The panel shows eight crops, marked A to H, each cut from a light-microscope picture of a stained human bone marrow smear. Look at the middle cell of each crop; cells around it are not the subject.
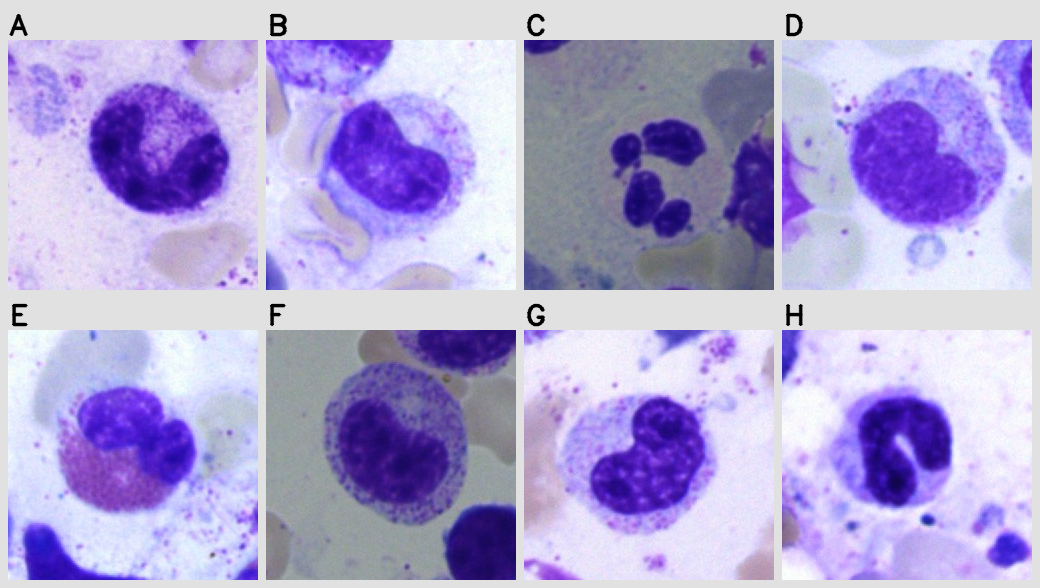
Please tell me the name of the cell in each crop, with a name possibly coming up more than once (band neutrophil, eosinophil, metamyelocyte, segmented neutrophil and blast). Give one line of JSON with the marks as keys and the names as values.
{"A": "band neutrophil", "B": "metamyelocyte", "C": "segmented neutrophil", "D": "metamyelocyte", "E": "eosinophil", "F": "metamyelocyte", "G": "metamyelocyte", "H": "band neutrophil"}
